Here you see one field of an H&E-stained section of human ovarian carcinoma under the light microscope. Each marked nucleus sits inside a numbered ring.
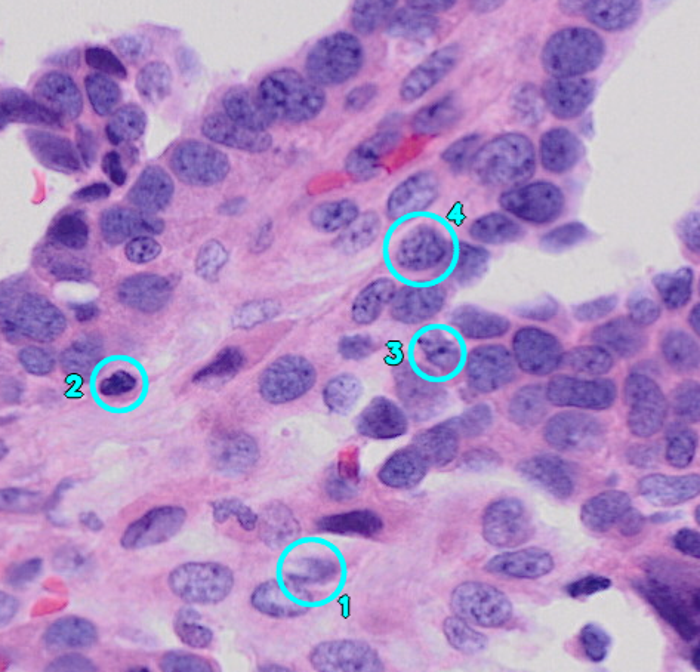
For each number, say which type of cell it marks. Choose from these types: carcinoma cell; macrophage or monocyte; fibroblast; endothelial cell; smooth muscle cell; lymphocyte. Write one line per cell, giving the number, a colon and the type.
1: fibroblast
2: lymphocyte
3: macrophage or monocyte
4: carcinoma cell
